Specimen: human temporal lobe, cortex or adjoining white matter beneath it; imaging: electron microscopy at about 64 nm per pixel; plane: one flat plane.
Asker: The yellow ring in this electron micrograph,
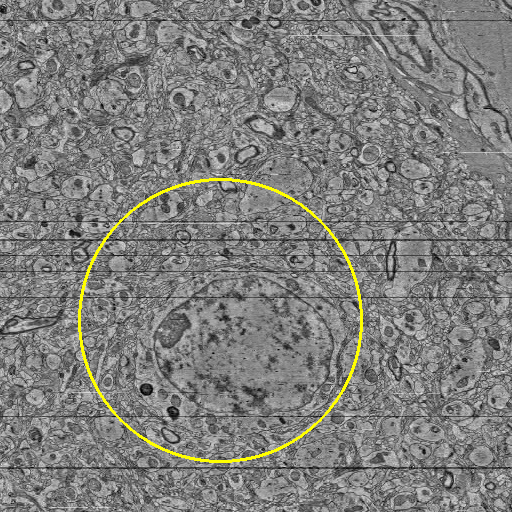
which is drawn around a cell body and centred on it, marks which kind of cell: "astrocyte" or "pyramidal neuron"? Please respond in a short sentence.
The marked cell is a pyramidal neuron.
